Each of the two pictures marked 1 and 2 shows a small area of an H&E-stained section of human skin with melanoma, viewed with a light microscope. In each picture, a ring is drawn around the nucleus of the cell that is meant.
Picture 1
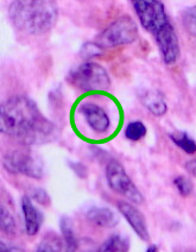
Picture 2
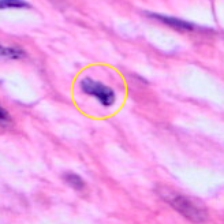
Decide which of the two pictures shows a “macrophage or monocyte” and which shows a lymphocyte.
1: macrophage or monocyte
2: lymphocyte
